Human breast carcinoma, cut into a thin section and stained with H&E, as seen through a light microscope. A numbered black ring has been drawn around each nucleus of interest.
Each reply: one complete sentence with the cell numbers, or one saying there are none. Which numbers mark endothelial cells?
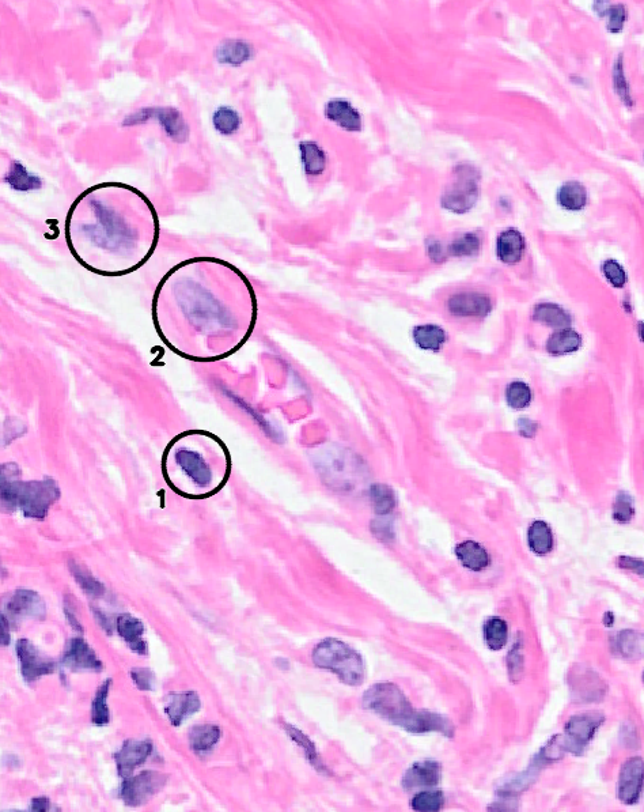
There is only one numbered cell that is an endothelial cell, and it is cell 2.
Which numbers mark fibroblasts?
Cell 3 is a fibroblast, and it is the only one.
